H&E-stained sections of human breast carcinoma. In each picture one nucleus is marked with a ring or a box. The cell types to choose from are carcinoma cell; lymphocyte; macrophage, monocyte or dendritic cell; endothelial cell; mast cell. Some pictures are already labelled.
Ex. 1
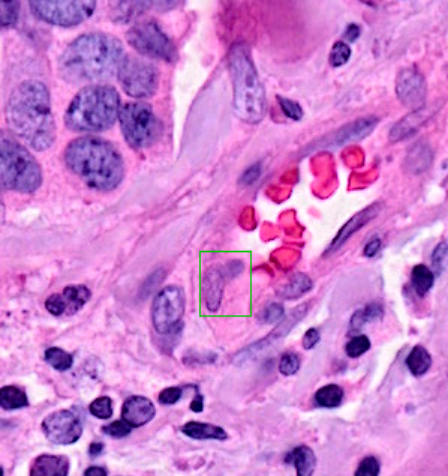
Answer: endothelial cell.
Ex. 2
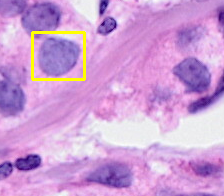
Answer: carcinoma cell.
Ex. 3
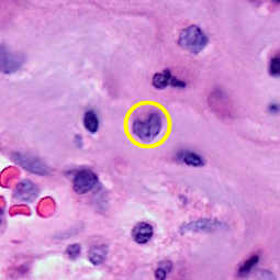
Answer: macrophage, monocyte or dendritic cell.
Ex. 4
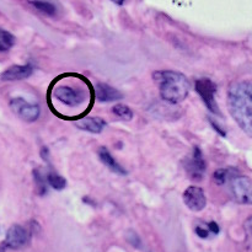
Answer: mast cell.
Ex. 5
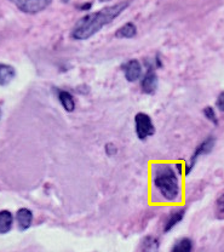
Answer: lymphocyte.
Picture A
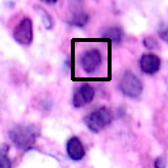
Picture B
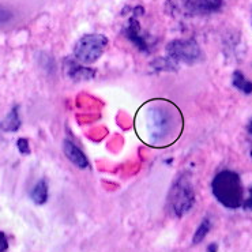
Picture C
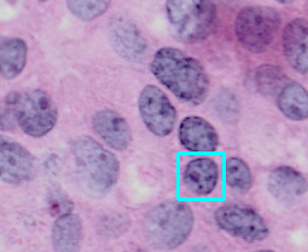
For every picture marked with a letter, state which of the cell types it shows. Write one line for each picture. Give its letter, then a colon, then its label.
A: lymphocyte.
B: endothelial cell.
C: carcinoma cell.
